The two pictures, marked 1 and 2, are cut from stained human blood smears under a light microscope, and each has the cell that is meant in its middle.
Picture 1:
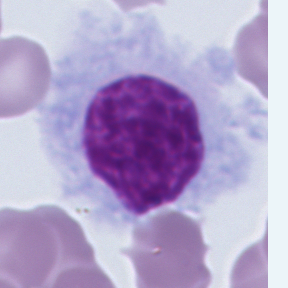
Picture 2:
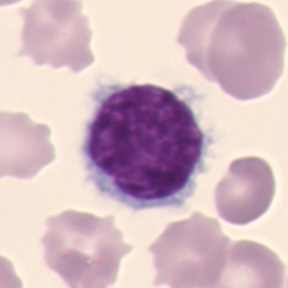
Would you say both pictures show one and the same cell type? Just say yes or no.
yes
